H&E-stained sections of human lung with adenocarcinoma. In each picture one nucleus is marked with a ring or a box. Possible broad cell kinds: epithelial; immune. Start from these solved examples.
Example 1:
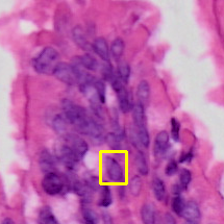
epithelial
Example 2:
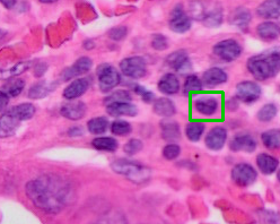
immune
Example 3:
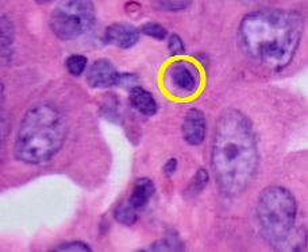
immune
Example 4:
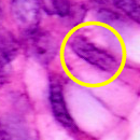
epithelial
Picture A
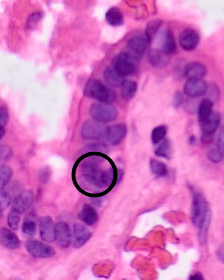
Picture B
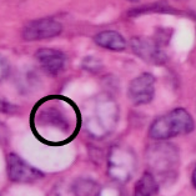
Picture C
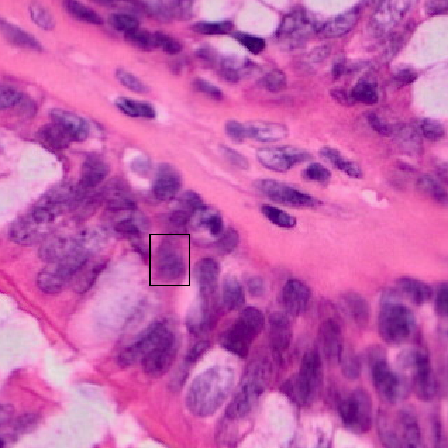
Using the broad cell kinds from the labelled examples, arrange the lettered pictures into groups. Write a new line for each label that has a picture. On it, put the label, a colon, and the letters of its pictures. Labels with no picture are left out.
epithelial: A, B, C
